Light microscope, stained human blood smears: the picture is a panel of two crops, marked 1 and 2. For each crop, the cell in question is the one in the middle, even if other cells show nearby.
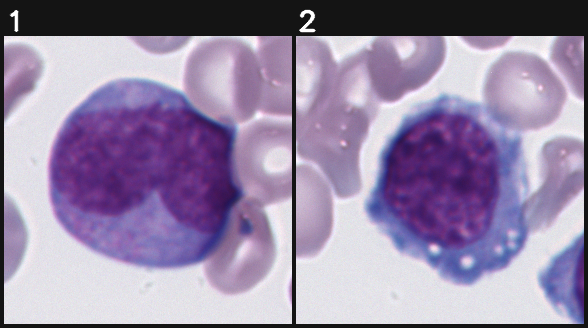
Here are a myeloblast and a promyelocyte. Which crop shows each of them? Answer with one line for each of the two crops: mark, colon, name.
1: promyelocyte
2: myeloblast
